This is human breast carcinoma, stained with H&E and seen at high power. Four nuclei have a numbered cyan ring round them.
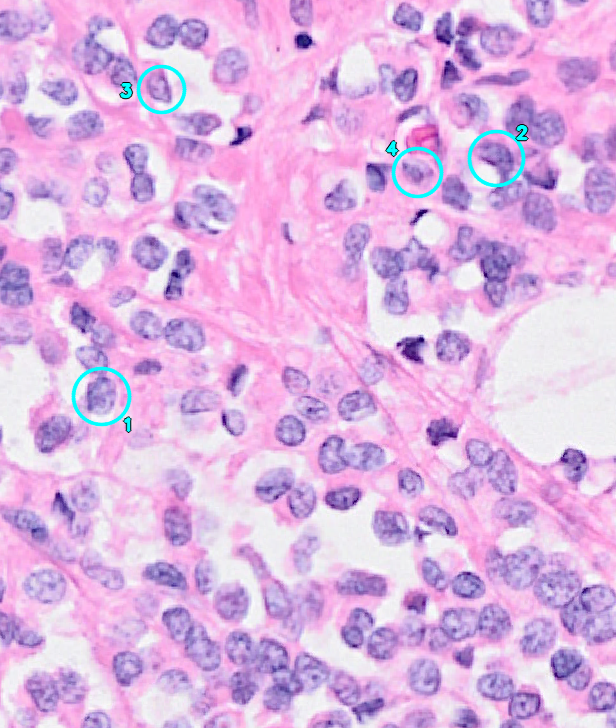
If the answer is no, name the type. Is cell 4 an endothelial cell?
Yes.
